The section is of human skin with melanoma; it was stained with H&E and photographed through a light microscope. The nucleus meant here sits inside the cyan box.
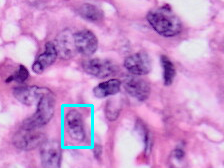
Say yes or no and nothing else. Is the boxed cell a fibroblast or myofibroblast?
no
